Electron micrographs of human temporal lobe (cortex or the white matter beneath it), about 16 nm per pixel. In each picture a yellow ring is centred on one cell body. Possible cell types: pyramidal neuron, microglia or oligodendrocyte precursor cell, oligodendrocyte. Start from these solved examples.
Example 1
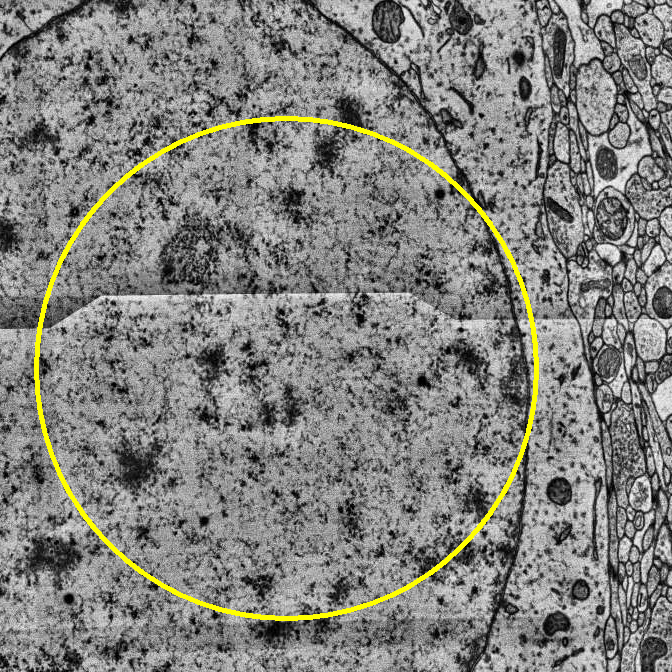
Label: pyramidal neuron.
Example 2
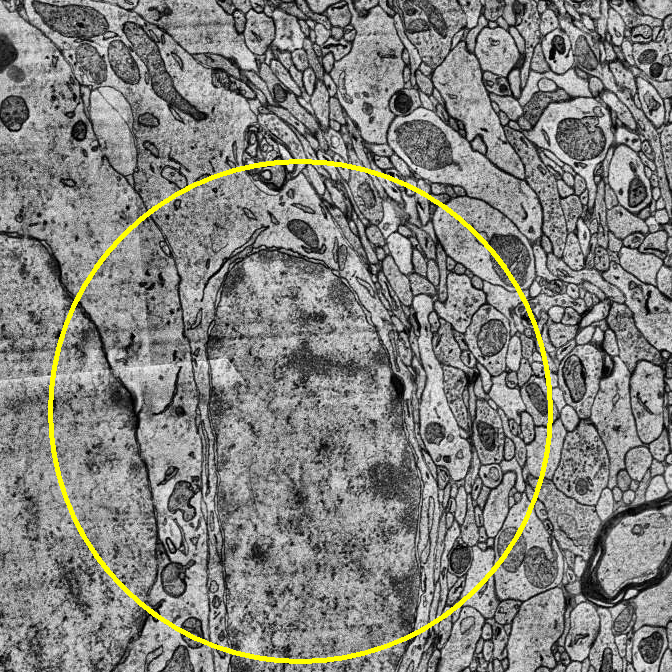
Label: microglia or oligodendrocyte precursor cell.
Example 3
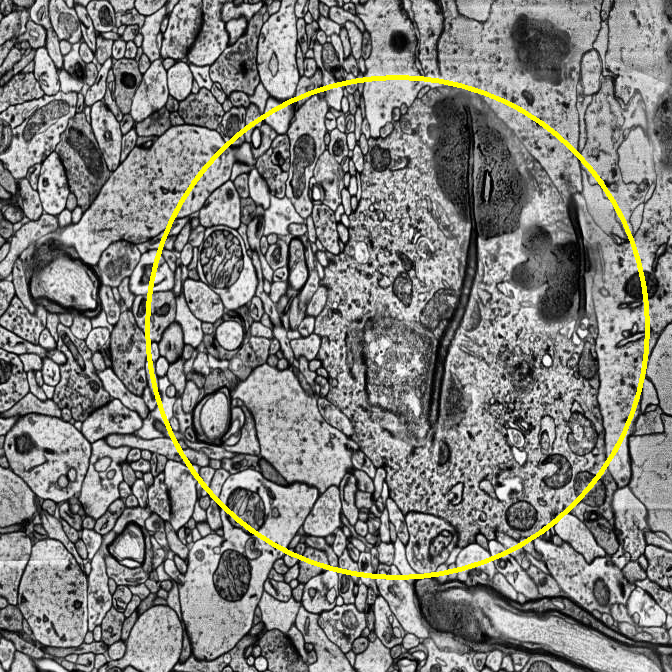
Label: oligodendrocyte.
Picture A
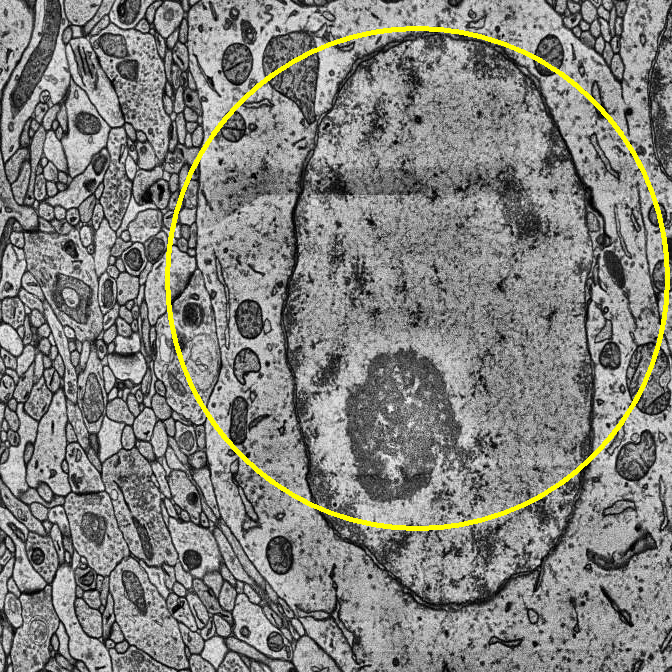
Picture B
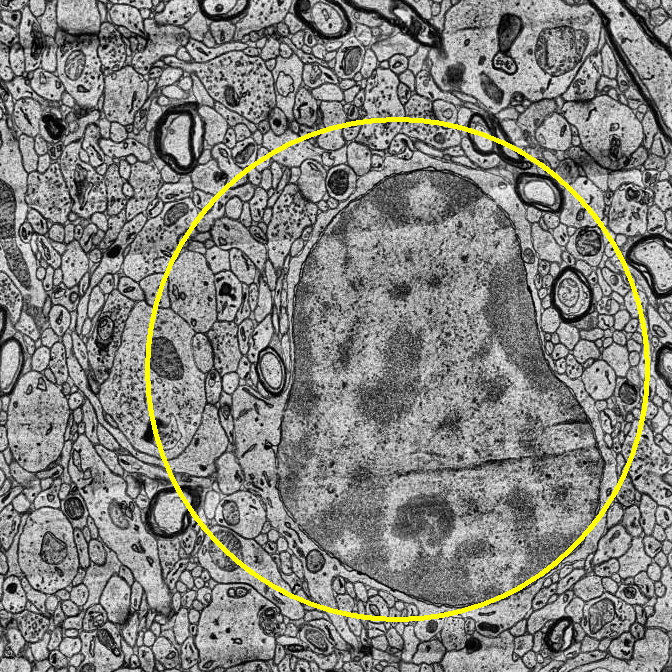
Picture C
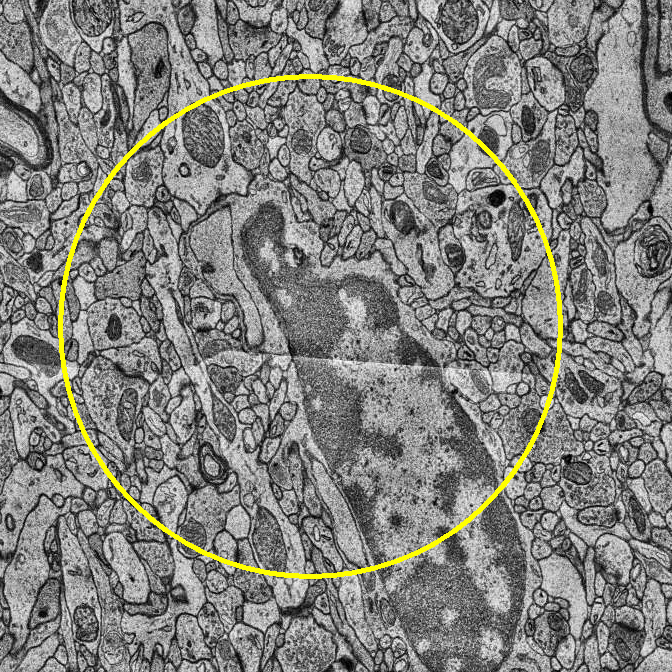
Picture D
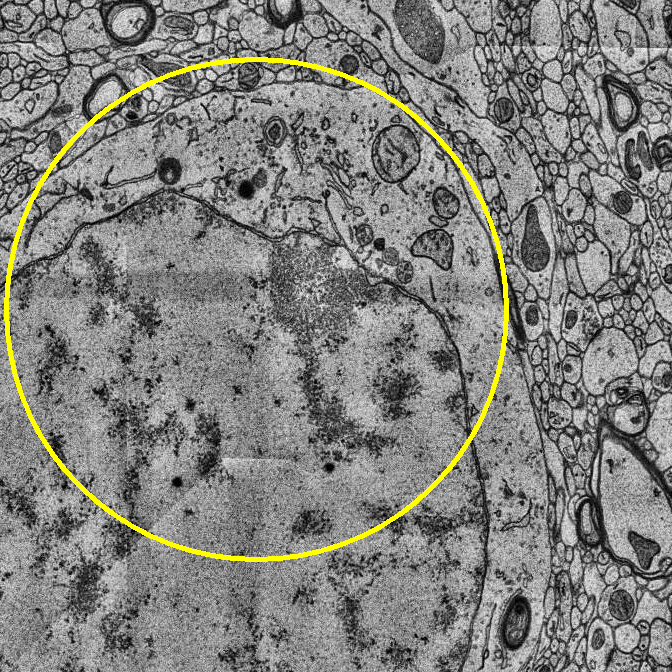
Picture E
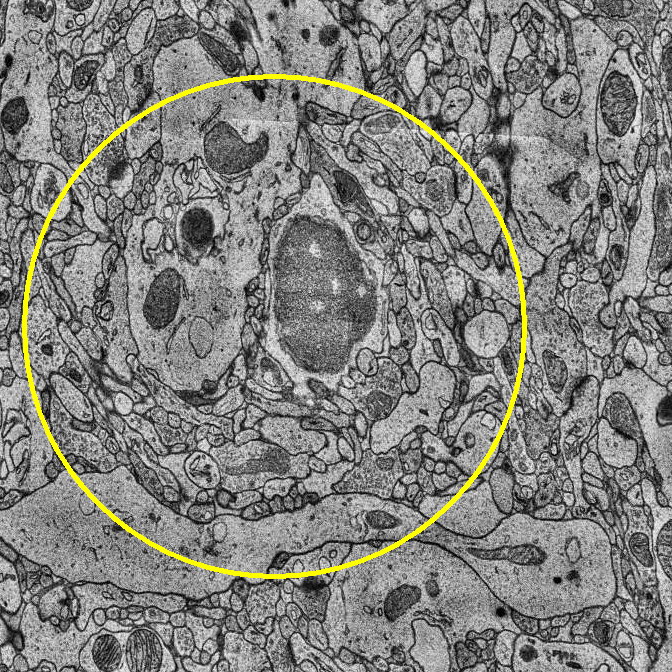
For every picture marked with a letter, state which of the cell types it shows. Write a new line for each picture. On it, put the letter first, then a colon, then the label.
A: pyramidal neuron.
B: microglia or oligodendrocyte precursor cell.
C: microglia or oligodendrocyte precursor cell.
D: pyramidal neuron.
E: microglia or oligodendrocyte precursor cell.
